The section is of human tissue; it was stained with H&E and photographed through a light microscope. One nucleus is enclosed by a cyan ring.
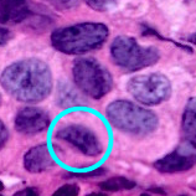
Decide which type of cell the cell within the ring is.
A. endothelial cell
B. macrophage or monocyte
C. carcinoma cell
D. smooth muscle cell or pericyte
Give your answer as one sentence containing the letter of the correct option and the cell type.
It is as option C has it, the cell within the ring being a carcinoma cell.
